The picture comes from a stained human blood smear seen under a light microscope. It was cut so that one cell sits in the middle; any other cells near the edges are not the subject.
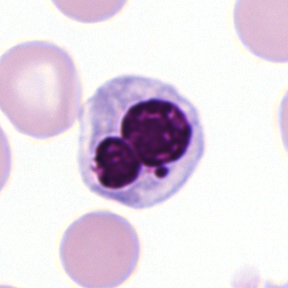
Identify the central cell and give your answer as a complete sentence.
This crop is built around a normoblast at its centre.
